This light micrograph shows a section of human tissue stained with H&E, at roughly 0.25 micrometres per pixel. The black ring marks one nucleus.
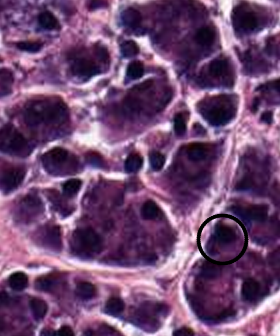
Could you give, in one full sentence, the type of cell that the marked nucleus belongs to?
The nucleus marked in this picture belongs to a pancreatic acinar cell.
